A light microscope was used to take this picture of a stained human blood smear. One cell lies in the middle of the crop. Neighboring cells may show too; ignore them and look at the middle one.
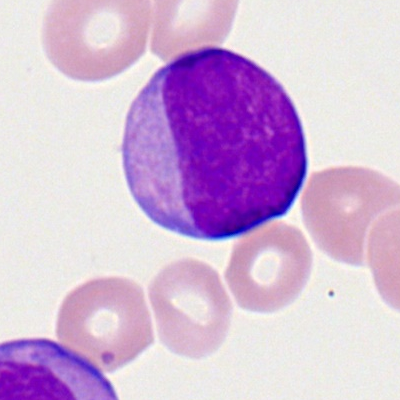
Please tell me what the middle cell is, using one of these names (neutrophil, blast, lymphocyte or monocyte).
blast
